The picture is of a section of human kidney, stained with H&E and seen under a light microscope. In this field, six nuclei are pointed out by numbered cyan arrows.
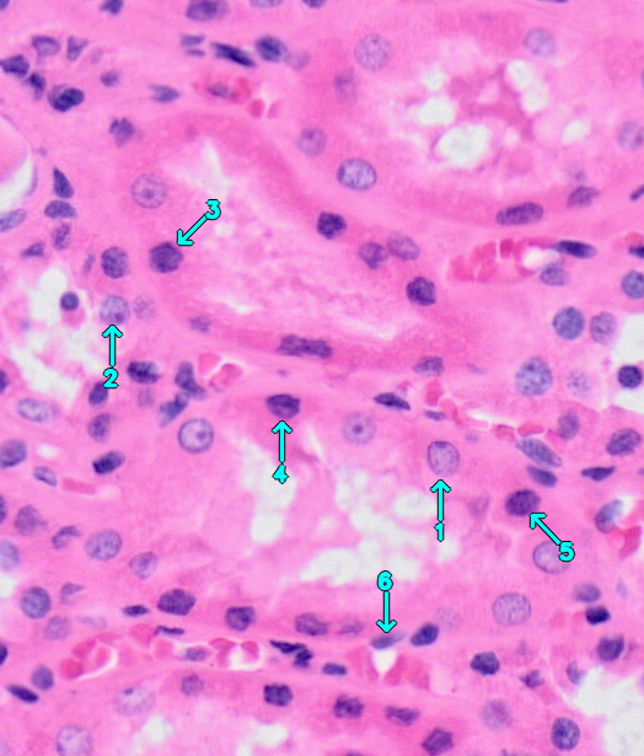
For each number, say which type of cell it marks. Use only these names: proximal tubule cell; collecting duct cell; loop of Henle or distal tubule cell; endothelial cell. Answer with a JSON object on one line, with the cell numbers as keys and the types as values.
{"1": "proximal tubule cell", "2": "loop of Henle or distal tubule cell", "3": "proximal tubule cell", "4": "proximal tubule cell", "5": "proximal tubule cell", "6": "endothelial cell"}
